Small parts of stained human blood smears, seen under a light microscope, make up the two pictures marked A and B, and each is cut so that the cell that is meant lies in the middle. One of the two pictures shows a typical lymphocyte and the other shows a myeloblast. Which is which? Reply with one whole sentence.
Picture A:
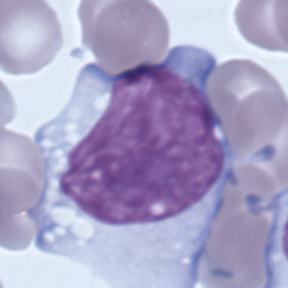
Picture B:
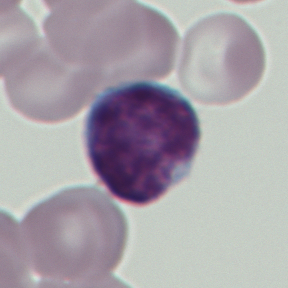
It is picture A that shows a myeloblast, and picture B that shows a typical lymphocyte.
